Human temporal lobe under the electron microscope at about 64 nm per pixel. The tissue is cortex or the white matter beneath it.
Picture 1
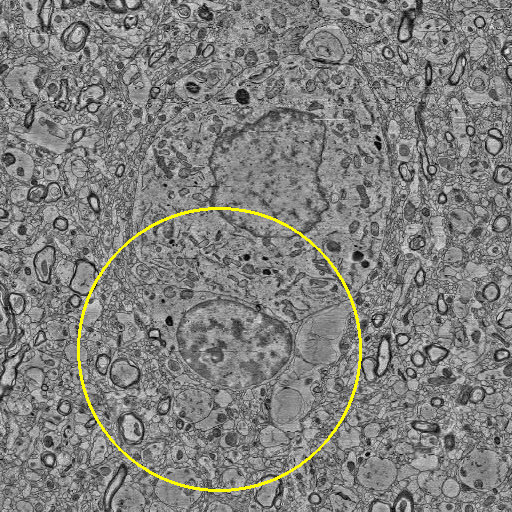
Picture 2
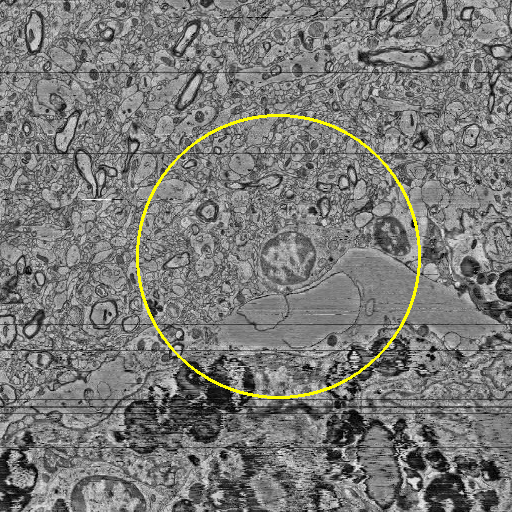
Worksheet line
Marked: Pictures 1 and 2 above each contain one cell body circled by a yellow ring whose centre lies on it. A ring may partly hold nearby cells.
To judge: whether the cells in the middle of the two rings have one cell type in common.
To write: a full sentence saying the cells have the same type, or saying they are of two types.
The cells in the middle of the rings in Picture 1 and Picture 2 have the same type.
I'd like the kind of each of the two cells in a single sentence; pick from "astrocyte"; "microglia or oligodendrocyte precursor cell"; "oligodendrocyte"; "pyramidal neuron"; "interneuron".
Both the first and the second picture show an oligodendrocyte in the ring.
